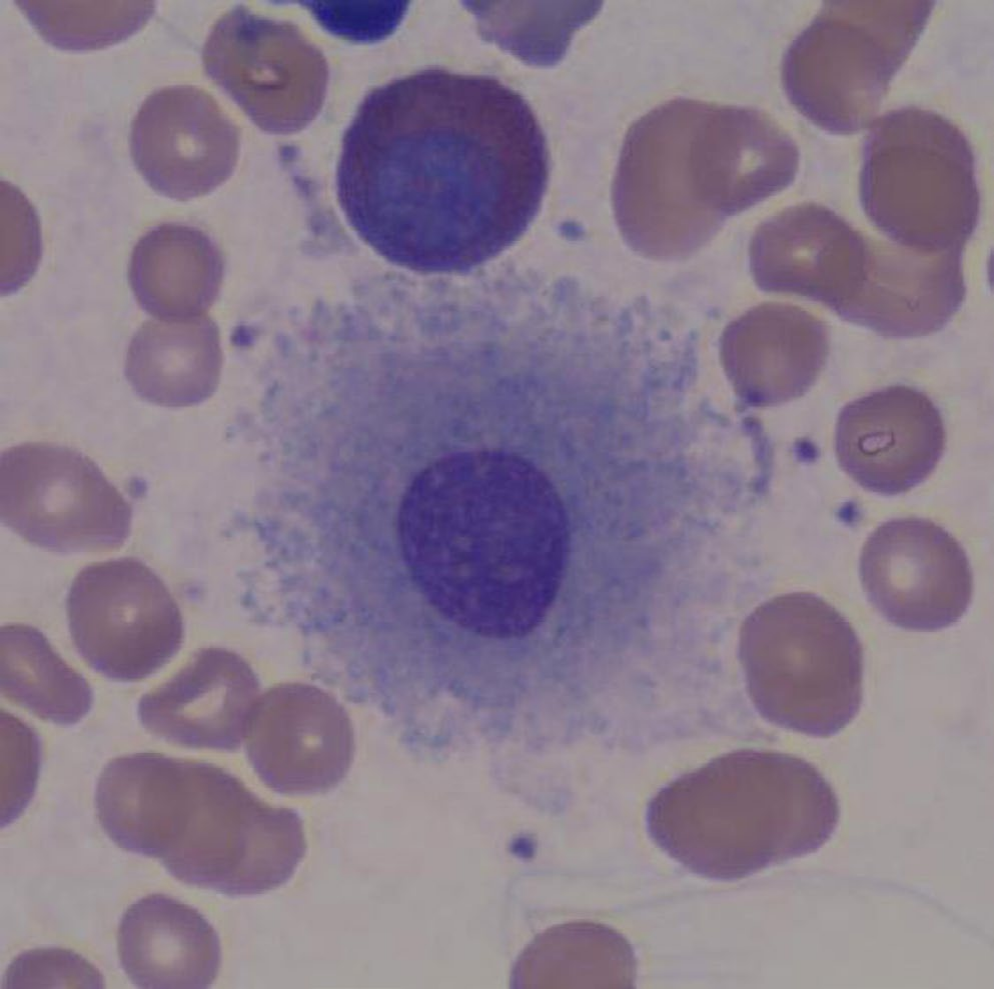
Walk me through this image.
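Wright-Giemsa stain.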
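A very large megakaryocyte lies at the center of the smear among many red cells. It has a single small, round, unlobed purple nucleus set in a broad rim of pale blue, finely granular cytoplasm whose border is ragged and frayed. Above it lies a much smaller round cell with deep blue cytoplasm, and a few tiny dark granular fragments are scattered nearby.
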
